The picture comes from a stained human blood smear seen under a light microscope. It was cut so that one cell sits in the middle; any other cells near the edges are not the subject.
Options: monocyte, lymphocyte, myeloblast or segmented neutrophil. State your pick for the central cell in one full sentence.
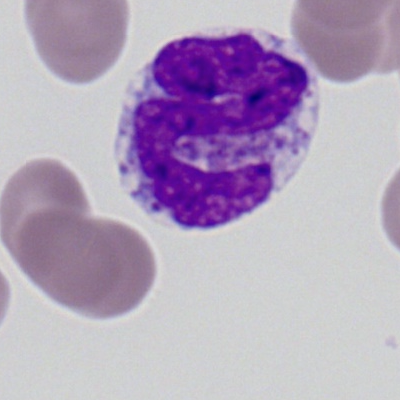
The cell the crop is centered on is a monocyte.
